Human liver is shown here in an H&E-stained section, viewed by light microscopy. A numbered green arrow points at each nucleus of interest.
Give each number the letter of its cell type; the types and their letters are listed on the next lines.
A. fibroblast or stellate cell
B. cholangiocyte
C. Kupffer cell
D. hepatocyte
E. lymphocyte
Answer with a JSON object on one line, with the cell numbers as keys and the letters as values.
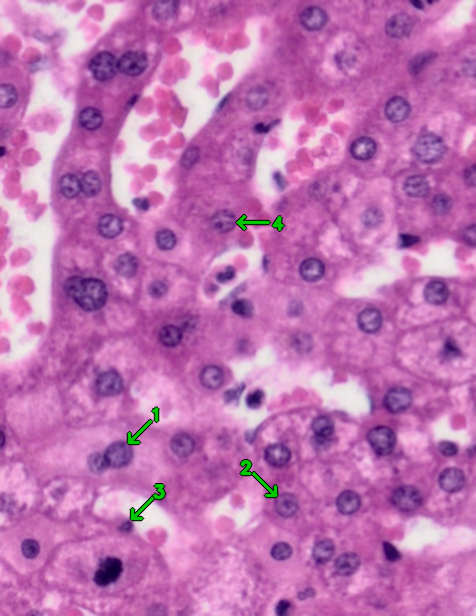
{"1": "D", "2": "D", "3": "C", "4": "D"}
